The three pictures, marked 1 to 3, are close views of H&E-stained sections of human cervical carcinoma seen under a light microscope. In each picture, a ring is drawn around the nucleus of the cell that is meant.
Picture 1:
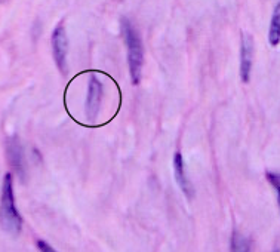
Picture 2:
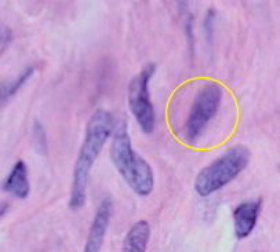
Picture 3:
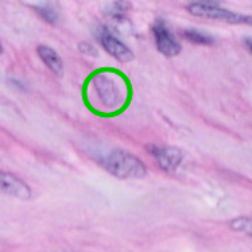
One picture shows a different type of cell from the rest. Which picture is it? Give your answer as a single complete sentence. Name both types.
Picture 3 is the odd one out: it shows a smooth muscle cell, while the others show fibroblasts.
